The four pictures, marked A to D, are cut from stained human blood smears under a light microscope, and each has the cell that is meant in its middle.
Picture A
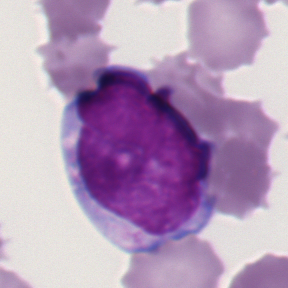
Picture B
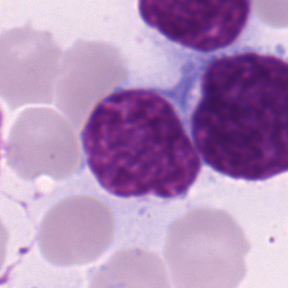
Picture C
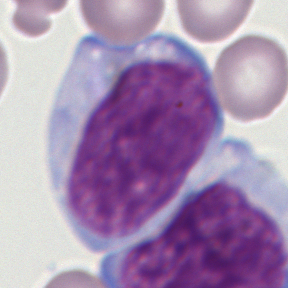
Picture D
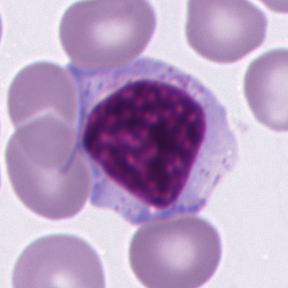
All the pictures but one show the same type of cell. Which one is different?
D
